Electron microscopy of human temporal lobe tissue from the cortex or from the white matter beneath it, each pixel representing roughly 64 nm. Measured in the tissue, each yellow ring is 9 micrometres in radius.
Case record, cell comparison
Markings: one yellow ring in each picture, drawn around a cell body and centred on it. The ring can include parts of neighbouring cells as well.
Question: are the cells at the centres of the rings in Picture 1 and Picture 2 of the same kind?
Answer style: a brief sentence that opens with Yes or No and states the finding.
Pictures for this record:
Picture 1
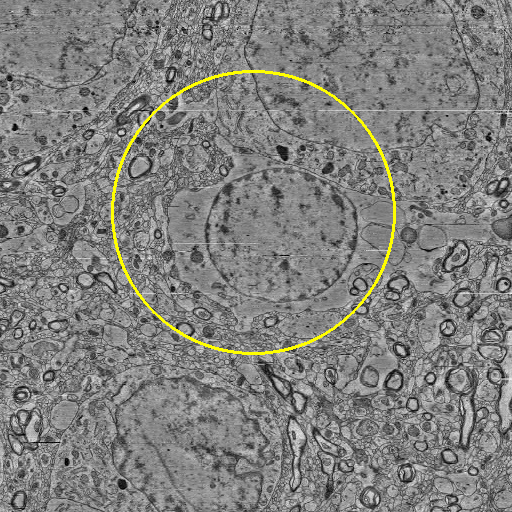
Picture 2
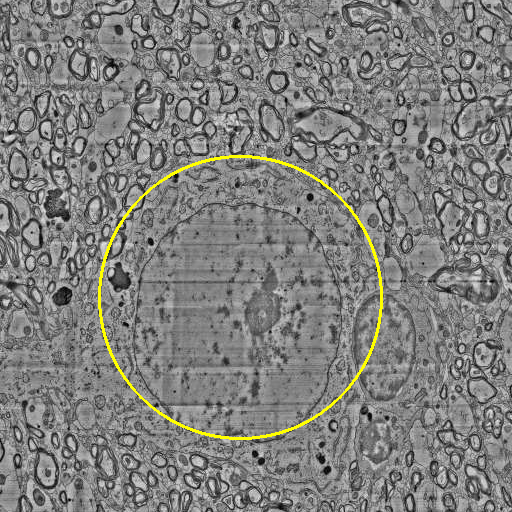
No, the cells in Picture 1 and Picture 2 are of two kinds.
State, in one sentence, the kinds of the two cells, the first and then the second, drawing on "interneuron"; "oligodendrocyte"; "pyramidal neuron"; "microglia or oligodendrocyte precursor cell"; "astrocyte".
The ring in the second picture is centred on a pyramidal neuron, the ring in the first on an astrocyte.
